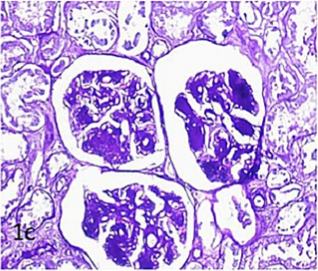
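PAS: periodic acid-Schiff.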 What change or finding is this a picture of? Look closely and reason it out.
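Several glomeruli contain rounded, strongly magenta mesangial nodules. The tufts have a lobulated appearance within clear Bowman's spaces. So: nodular glomerulosclerosis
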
